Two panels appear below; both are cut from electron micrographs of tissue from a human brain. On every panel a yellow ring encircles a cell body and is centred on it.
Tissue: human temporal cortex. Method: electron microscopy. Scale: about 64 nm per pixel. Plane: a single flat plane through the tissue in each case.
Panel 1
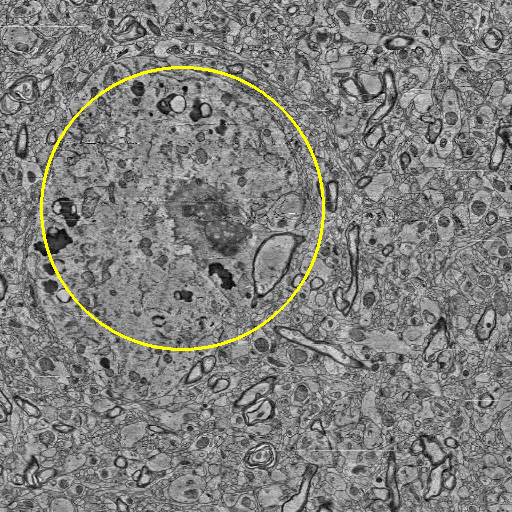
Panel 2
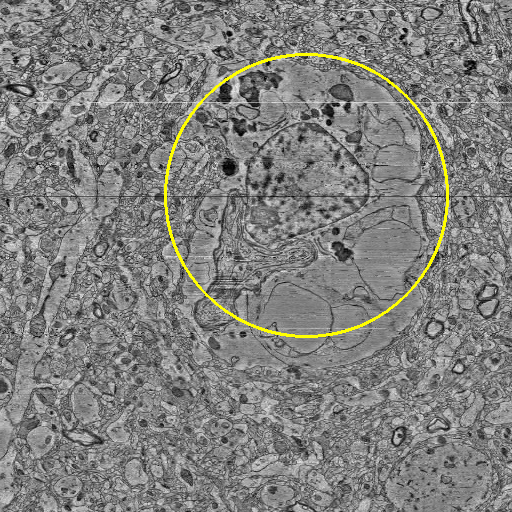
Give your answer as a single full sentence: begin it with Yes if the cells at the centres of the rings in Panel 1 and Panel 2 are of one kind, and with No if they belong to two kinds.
No, the cells in the middle of the rings in Panels 1 and 2 are of two kinds.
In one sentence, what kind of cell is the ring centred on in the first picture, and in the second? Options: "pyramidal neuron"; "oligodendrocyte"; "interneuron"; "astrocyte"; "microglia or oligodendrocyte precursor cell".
The cell at the centre of the second ring is an astrocyte; the first ring's cell is an oligodendrocyte.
